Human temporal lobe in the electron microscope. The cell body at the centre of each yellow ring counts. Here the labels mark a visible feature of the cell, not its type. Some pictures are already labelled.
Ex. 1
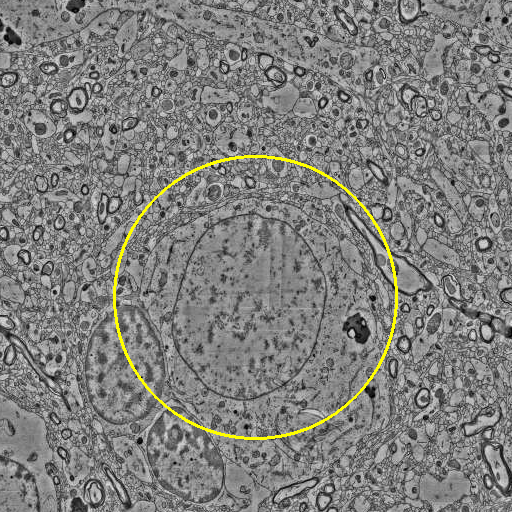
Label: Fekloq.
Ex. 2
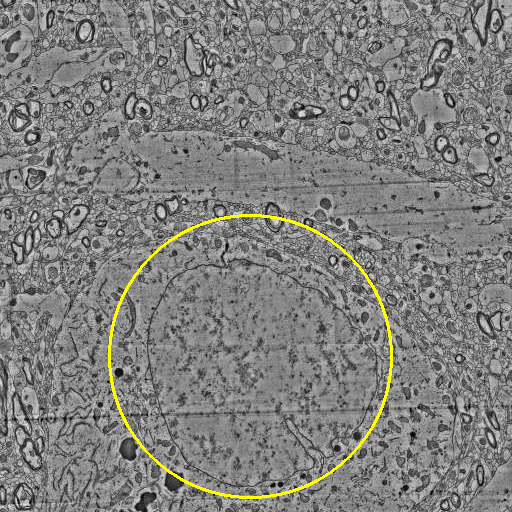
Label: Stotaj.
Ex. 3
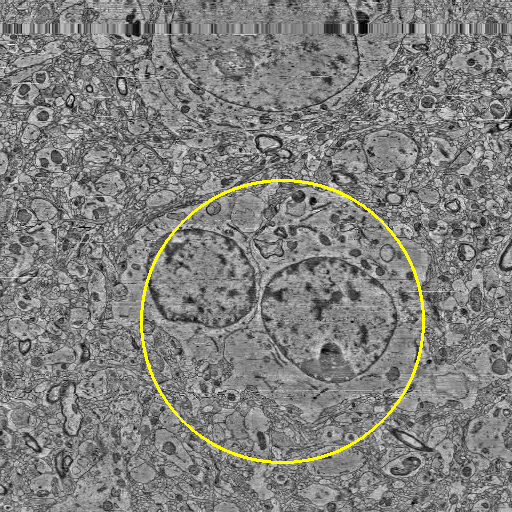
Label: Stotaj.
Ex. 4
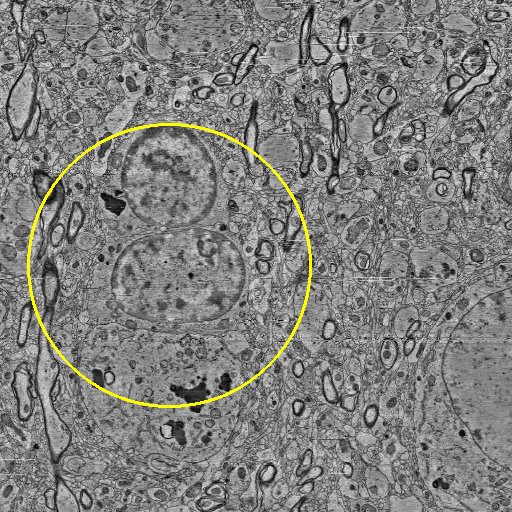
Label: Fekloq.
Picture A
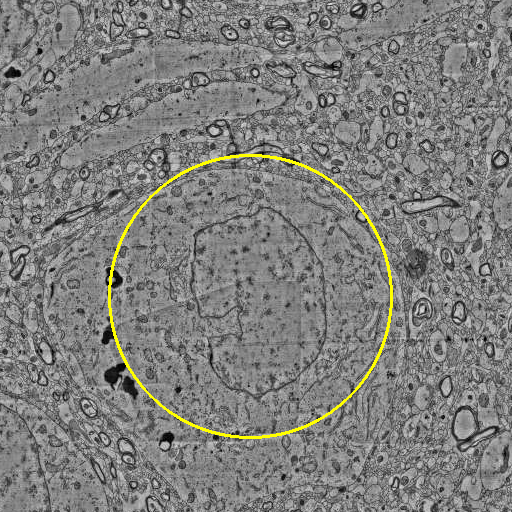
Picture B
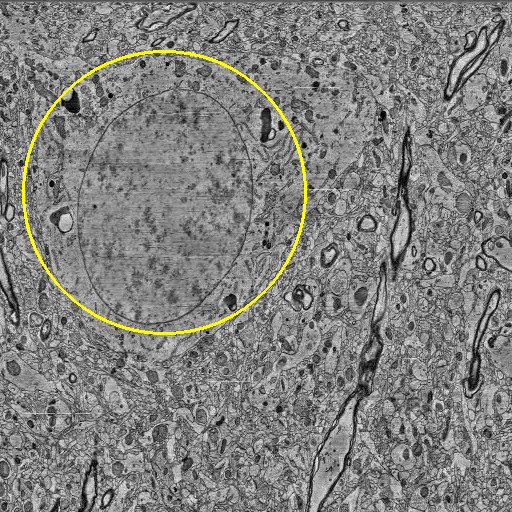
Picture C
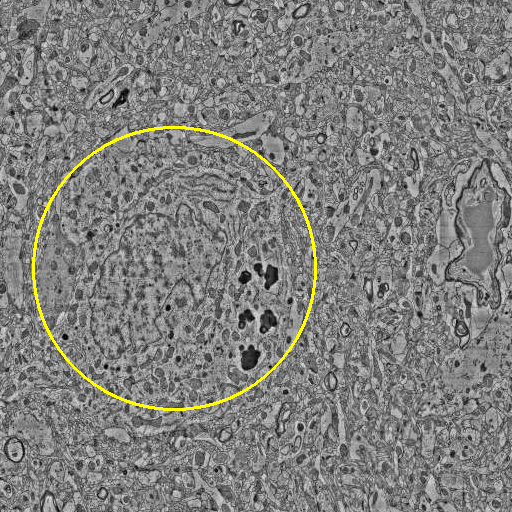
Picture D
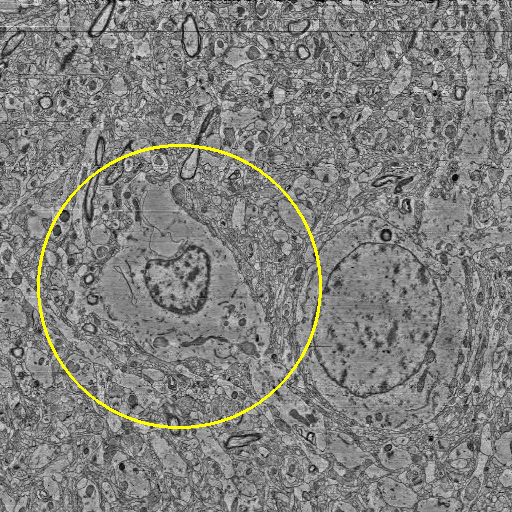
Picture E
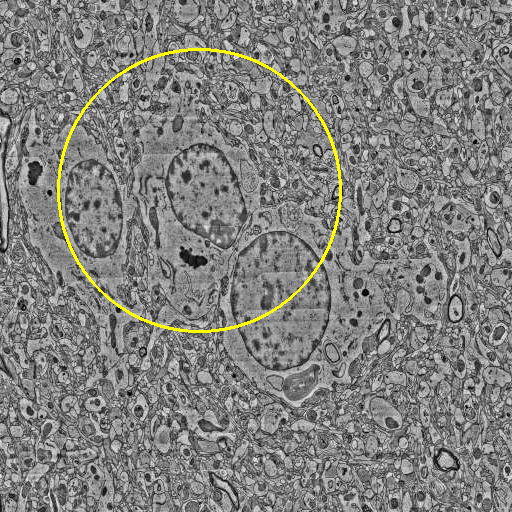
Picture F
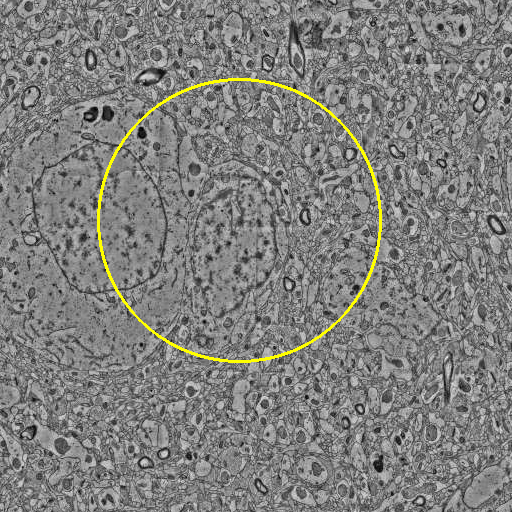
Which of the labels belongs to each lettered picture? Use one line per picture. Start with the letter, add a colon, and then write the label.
A: Stotaj.
B: Fekloq.
C: Stotaj.
D: Stotaj.
E: Fekloq.
F: Fekloq.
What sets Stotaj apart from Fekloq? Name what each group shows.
Stotaj, deeply folded or indented nuclear envelopes; Fekloq, smooth nuclear envelopes without deep folds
